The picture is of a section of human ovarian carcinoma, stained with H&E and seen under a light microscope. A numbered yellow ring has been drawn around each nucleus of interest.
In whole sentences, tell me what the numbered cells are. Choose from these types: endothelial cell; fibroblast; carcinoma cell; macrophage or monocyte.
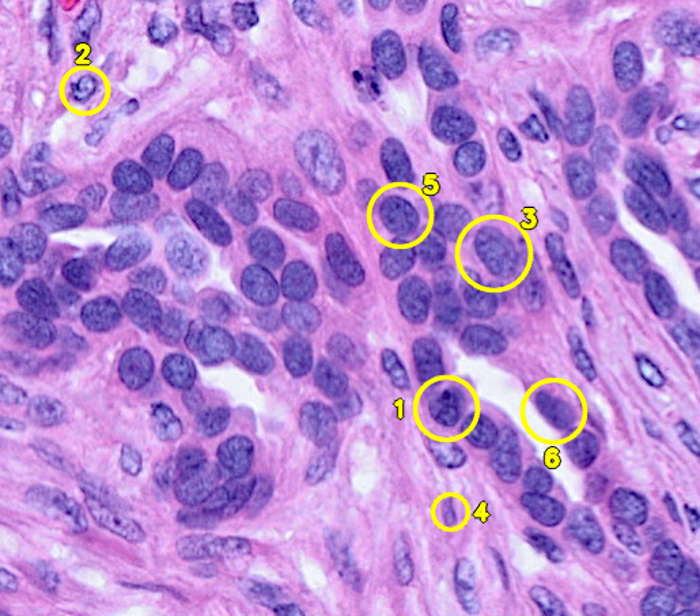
Cells 1, 3, 5 and 6 are carcinoma cells. Cells 2 and 4 are fibroblasts.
